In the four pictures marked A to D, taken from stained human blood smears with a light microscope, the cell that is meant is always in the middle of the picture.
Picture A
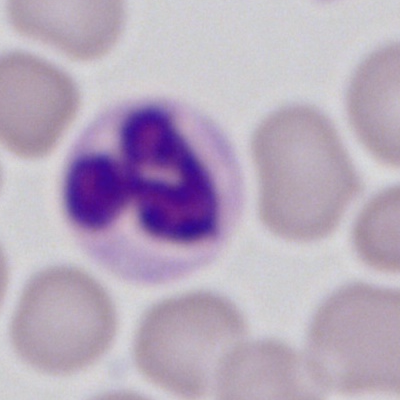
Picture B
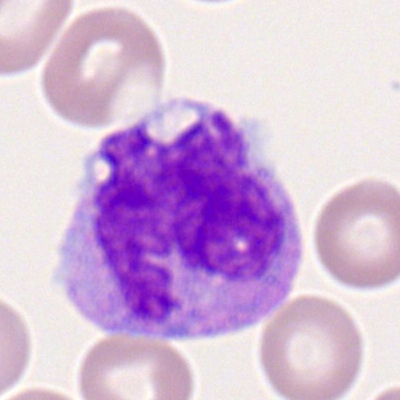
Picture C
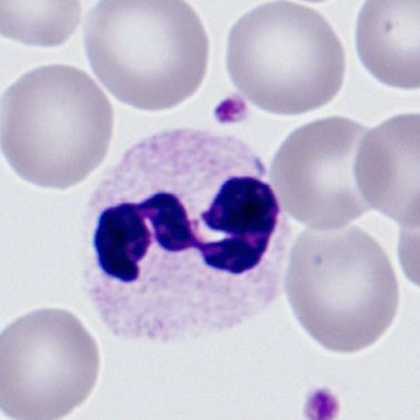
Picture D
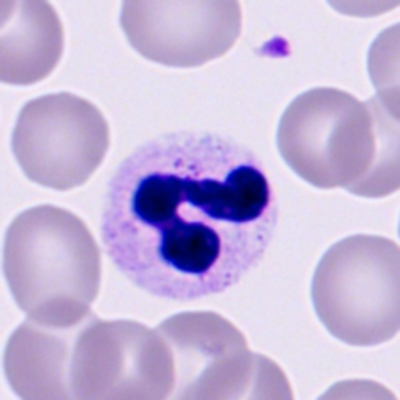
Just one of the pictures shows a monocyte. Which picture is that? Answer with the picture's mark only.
B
